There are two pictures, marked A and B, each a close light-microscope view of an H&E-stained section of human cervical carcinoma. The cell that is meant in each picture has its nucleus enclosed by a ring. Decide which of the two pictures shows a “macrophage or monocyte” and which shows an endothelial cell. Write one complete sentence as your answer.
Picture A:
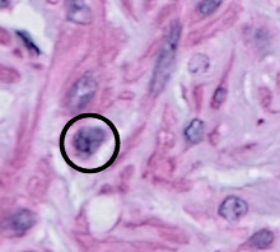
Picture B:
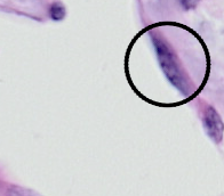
Picture A is of a “macrophage or monocyte”, and picture B is of an endothelial cell.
